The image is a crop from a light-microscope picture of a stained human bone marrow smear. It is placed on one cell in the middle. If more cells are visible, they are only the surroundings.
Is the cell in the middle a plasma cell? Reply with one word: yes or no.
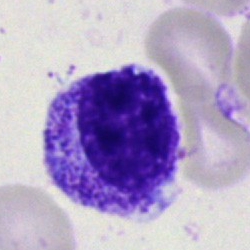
no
